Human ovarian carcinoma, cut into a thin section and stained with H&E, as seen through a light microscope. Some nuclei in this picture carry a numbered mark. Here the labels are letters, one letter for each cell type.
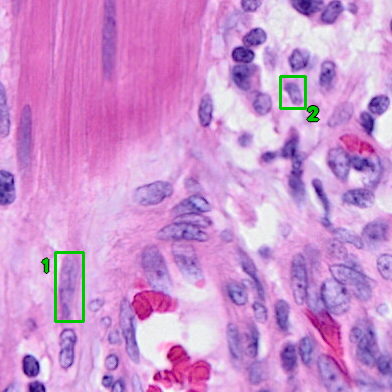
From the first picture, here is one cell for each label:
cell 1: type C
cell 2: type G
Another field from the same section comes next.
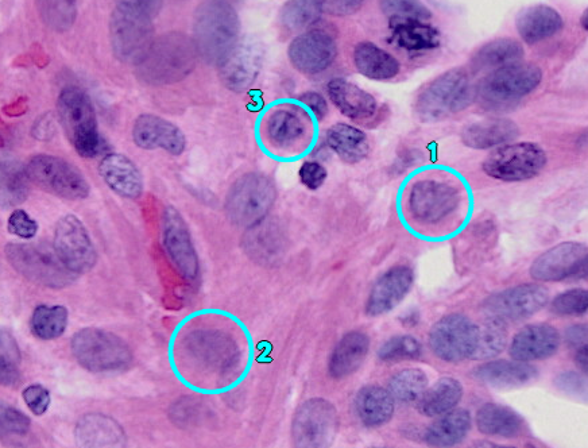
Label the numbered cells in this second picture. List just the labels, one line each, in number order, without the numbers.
type C
type C
type G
